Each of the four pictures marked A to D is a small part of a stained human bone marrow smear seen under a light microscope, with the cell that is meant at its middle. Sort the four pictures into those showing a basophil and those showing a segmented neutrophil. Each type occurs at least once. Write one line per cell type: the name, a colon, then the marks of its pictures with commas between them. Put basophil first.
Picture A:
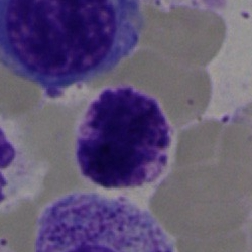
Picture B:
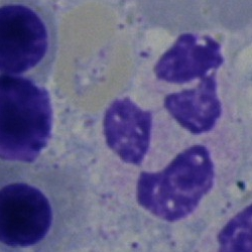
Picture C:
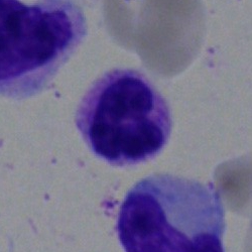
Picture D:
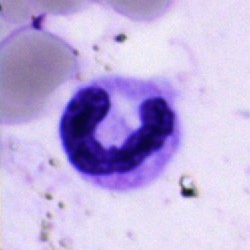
basophil: A
segmented neutrophil: B, C, D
